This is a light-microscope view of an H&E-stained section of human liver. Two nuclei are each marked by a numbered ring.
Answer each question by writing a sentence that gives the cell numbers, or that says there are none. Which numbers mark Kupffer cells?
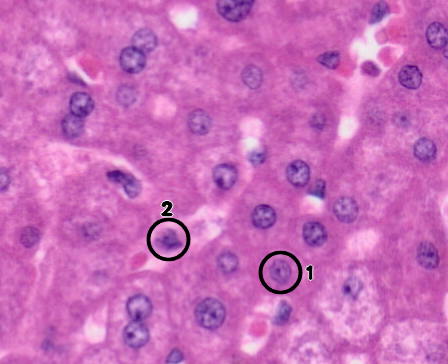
Cell 2 is a Kupffer cell and is the only numbered cell of that kind.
